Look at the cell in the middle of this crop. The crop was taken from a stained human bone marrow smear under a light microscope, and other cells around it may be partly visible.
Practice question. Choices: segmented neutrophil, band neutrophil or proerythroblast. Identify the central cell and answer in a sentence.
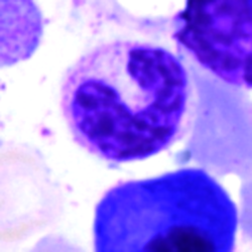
Answering briefly, the cell in the middle is a band neutrophil.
